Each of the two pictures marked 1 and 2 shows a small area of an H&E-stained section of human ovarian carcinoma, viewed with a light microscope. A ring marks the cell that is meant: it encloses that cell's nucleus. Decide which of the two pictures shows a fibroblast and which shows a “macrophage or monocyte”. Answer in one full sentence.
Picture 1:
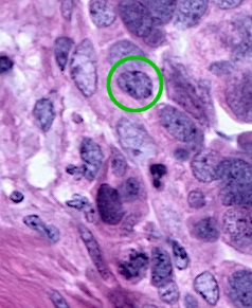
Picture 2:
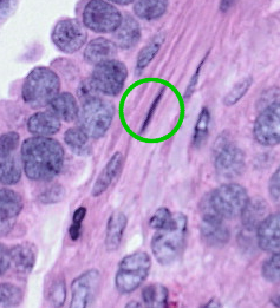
Picture 1 shows a “macrophage or monocyte” and picture 2 shows a fibroblast.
